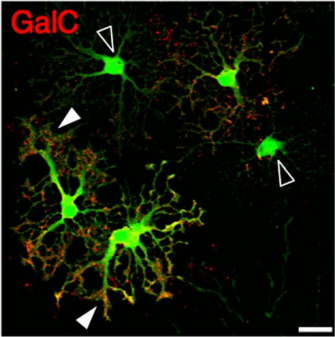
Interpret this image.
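Several green oligodendrocyte-lineage cells in culture are seen, each with a compact cell body and branching processes. Two cells at lower left bear dense, highly branched processes that appear yellow to orange where red dots overlie the green, forming webbed, sheet-like regions. Other cells, including one at top and one at right, are green only, with fewer or shorter processes and a simpler form. Small red dots are scattered through the field between the cells.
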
